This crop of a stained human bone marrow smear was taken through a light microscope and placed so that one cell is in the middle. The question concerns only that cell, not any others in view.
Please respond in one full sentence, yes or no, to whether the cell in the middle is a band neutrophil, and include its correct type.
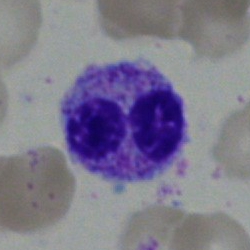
No, the centre of the crop is taken up by a segmented neutrophil, not a band neutrophil.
